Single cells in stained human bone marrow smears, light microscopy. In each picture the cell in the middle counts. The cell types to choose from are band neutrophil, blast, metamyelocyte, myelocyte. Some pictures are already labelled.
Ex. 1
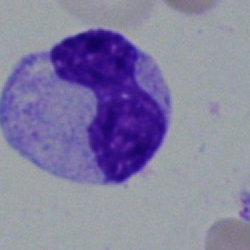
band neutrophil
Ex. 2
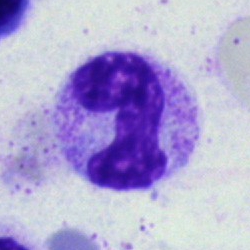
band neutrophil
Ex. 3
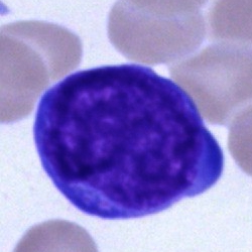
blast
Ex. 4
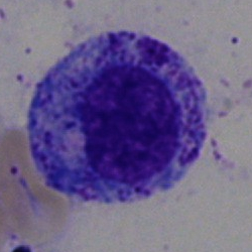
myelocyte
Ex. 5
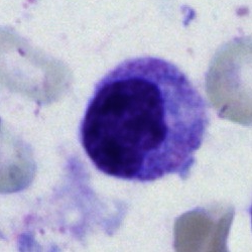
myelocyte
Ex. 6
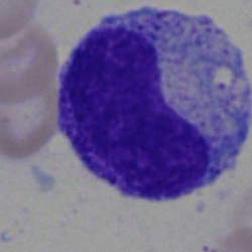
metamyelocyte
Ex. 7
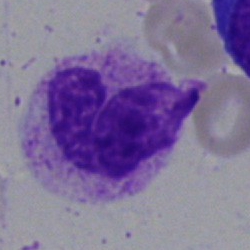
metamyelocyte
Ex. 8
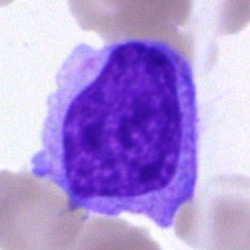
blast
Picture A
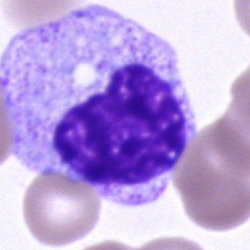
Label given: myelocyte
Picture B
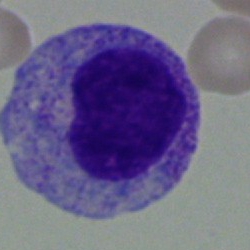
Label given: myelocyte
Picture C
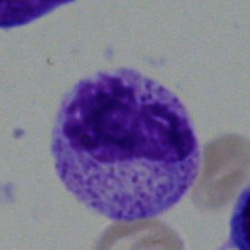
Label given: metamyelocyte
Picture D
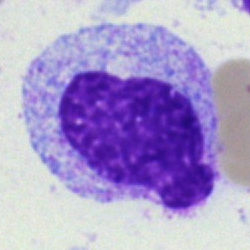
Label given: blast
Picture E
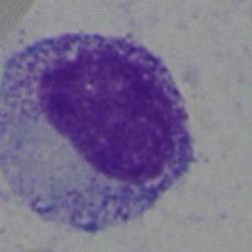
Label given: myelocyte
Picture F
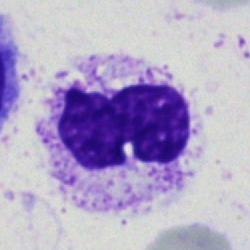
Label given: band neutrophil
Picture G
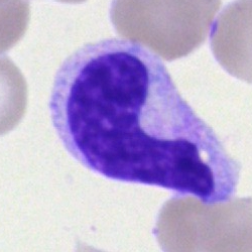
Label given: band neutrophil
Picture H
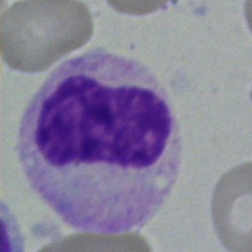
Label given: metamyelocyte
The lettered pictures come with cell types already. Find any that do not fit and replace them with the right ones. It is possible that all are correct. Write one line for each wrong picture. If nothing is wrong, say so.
Wrong: D (blast); correct: myelocyte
